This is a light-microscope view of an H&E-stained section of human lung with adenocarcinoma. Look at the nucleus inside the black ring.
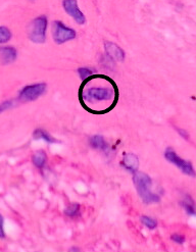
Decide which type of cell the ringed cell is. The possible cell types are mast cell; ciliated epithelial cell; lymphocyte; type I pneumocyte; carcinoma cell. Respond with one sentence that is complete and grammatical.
What the ringed cell represents is a mast cell.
